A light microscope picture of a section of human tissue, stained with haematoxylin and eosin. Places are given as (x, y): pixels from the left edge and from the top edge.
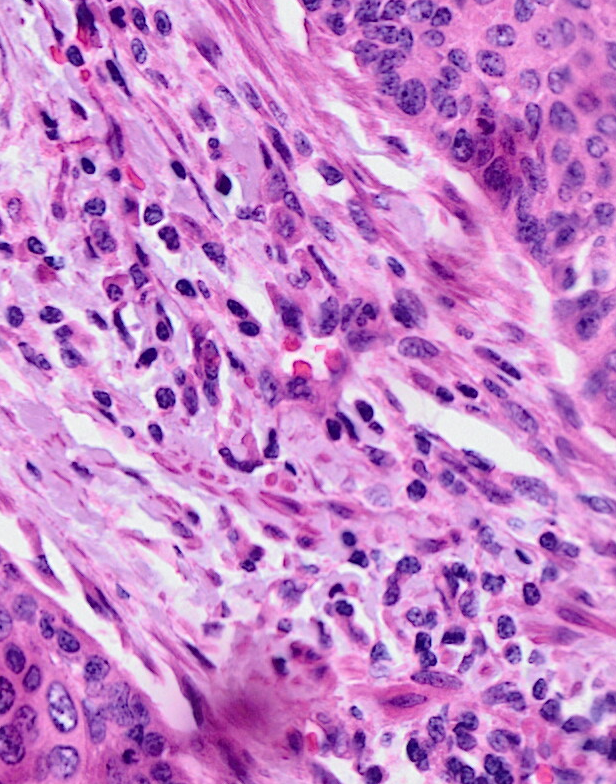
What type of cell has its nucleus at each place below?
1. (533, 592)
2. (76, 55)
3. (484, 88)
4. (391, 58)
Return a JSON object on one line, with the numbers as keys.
{"1": "lymphocyte", "2": "lymphocyte", "3": "squamous carcinoma cell", "4": "squamous carcinoma cell"}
